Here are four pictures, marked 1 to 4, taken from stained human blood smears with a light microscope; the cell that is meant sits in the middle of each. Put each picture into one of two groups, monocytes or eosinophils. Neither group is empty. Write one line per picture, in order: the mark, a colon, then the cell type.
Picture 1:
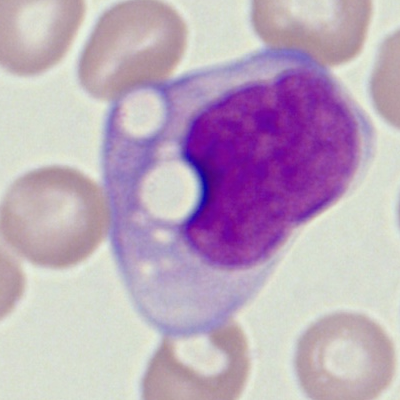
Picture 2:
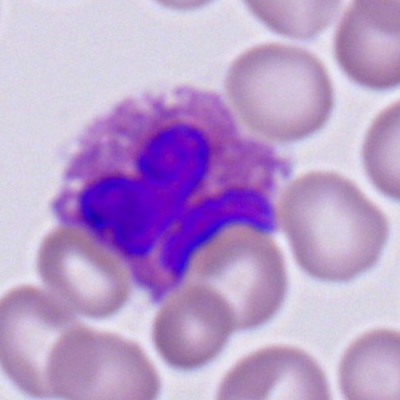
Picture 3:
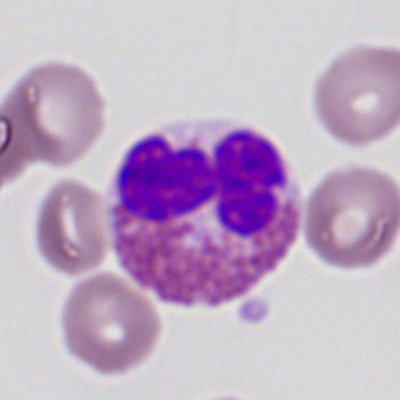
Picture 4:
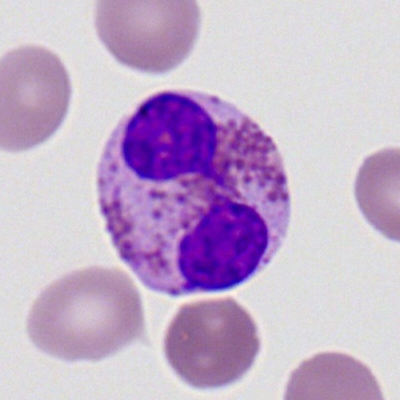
1: monocyte
2: eosinophil
3: eosinophil
4: eosinophil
